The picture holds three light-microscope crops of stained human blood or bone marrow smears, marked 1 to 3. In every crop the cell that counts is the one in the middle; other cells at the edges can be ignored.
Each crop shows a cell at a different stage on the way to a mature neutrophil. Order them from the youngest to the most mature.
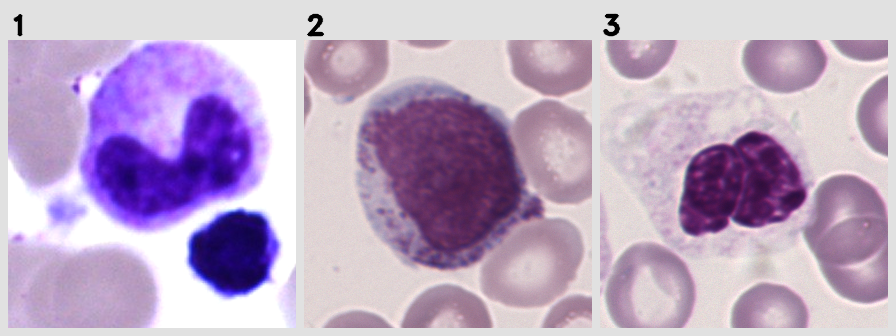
2, 1, 3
